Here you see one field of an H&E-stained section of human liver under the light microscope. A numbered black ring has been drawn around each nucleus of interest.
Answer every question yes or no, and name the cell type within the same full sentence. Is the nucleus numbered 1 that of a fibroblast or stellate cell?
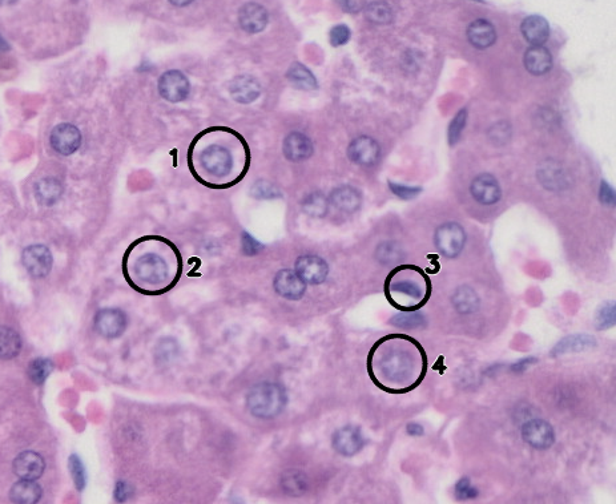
No, the cell indicated by 1 is a hepatocyte instead of a fibroblast or stellate cell.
